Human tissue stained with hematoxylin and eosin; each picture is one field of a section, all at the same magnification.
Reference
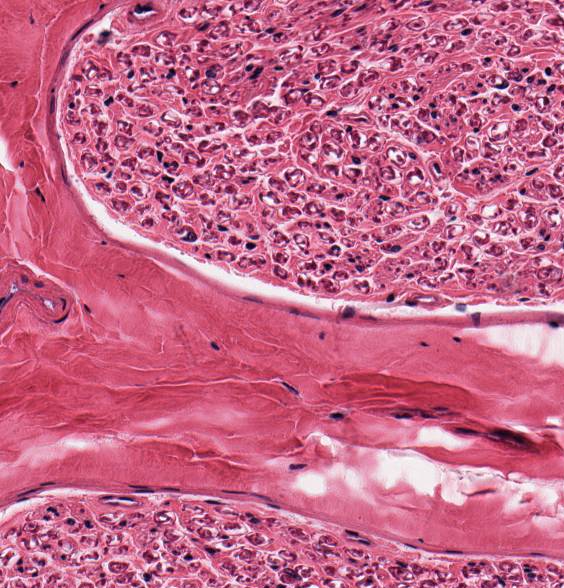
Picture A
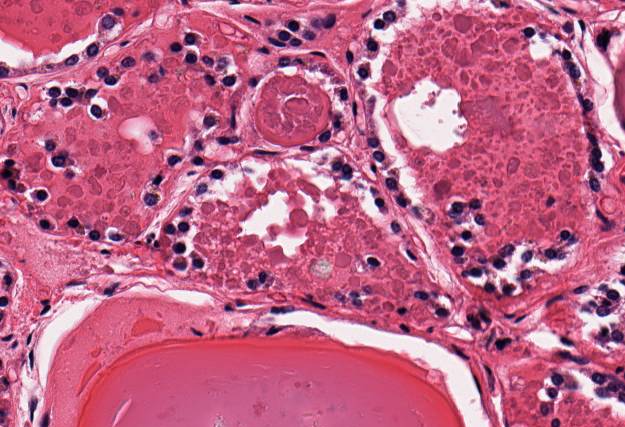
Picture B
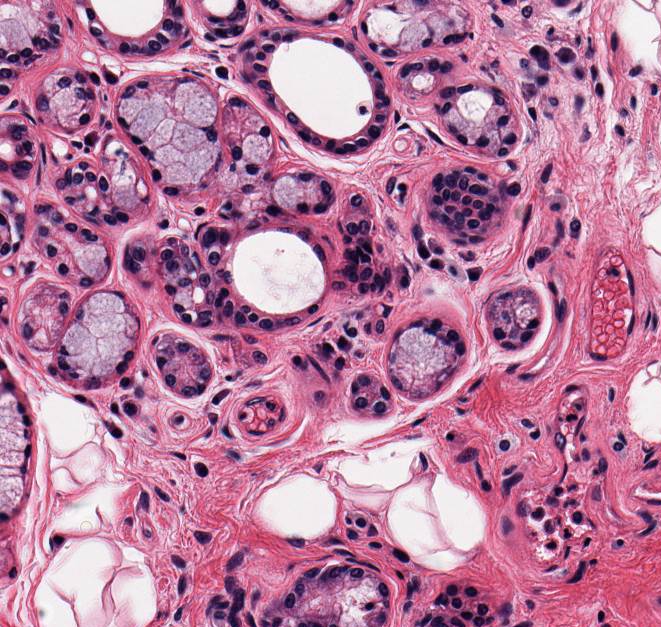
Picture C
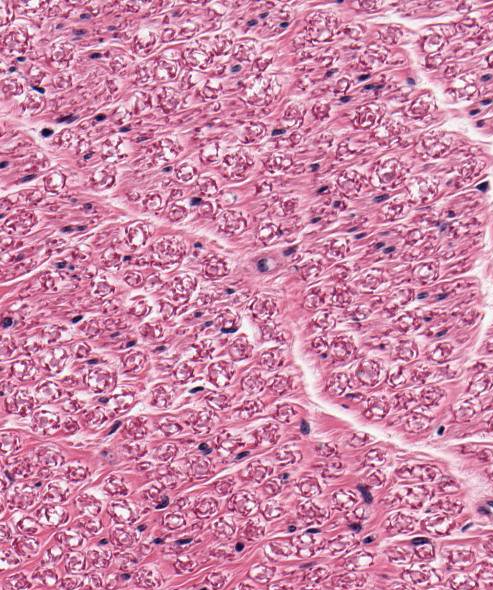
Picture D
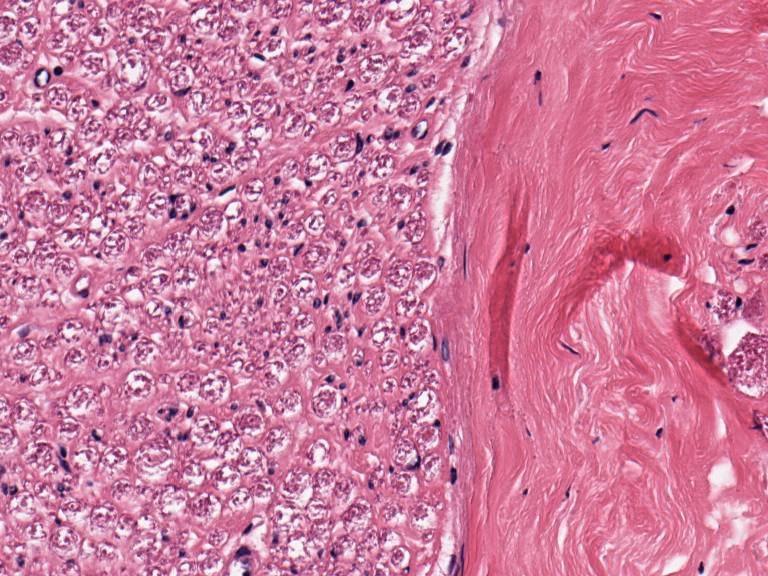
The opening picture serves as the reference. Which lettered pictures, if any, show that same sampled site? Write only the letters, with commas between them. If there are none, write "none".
C, D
